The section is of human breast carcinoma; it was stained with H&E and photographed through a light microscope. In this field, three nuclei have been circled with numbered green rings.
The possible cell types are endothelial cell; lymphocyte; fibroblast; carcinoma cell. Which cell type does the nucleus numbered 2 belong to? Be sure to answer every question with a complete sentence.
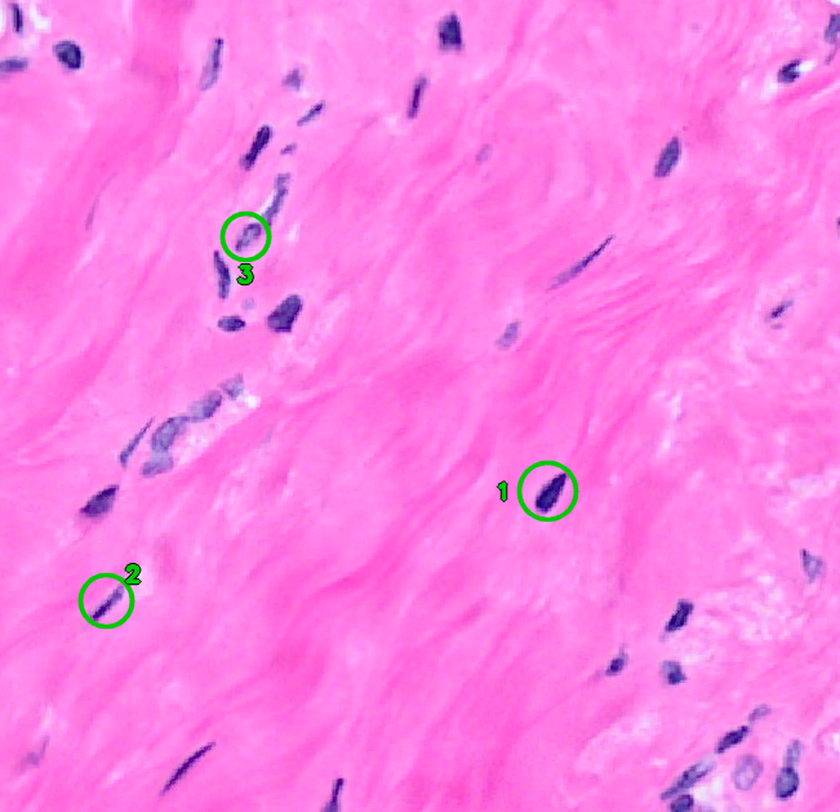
What the number 2 marks in this field is a fibroblast.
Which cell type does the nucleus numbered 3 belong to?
Regarding cell 3, this one is an endothelial cell.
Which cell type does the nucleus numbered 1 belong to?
Looking at the numbered marks, cell 1 is a lymphocyte.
